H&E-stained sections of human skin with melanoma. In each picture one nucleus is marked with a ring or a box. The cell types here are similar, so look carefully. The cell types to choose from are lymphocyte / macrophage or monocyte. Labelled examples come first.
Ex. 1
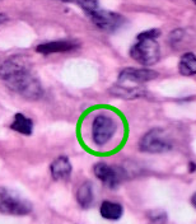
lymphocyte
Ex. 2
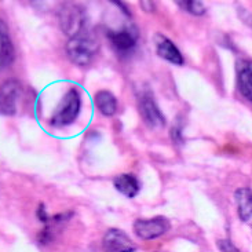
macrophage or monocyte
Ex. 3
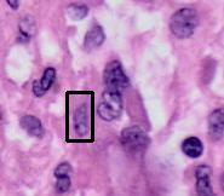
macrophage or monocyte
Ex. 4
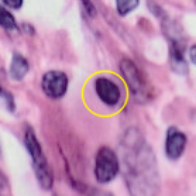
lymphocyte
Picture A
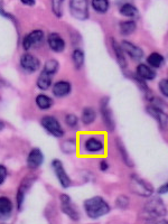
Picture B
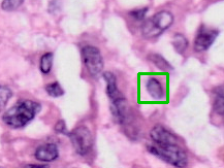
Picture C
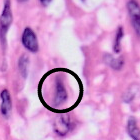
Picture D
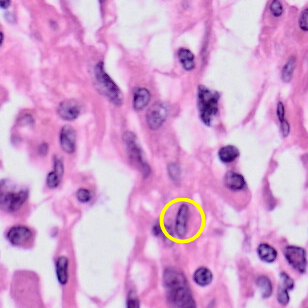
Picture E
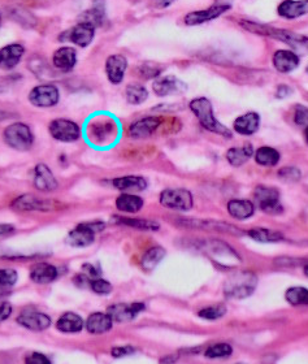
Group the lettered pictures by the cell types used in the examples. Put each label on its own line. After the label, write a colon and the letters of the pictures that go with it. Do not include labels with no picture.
lymphocyte: A
macrophage or monocyte: B, C, D, E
